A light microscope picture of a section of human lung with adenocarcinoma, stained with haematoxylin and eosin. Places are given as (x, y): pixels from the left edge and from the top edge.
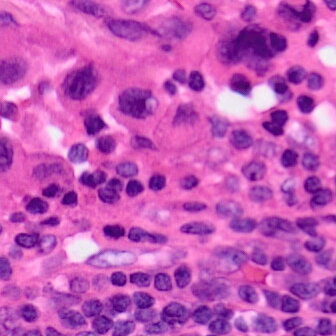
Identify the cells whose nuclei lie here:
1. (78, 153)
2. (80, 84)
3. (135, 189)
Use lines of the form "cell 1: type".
cell 1: lymphocyte
cell 2: carcinoma cell
cell 3: lymphocyte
